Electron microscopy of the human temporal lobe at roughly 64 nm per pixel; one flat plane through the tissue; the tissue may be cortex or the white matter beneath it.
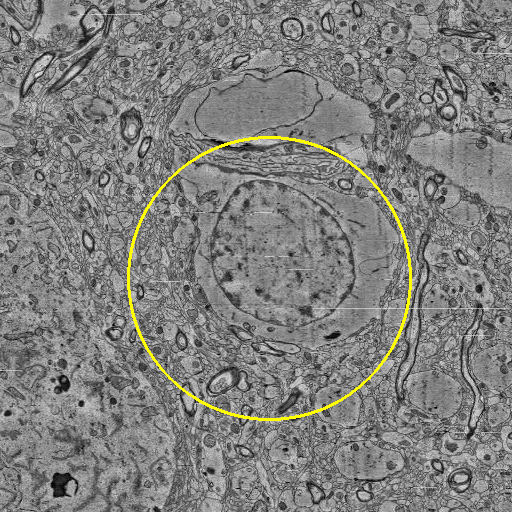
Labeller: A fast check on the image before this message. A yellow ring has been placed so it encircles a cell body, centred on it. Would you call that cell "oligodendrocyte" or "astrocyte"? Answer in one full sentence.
In this image, an astrocyte is the cell on which the yellow ring is centred.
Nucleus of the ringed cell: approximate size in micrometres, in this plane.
The ringed cell's nucleus is about 10 micrometres long and 9 micrometres wide in this plane.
